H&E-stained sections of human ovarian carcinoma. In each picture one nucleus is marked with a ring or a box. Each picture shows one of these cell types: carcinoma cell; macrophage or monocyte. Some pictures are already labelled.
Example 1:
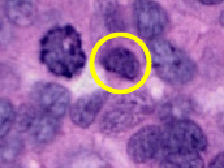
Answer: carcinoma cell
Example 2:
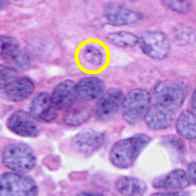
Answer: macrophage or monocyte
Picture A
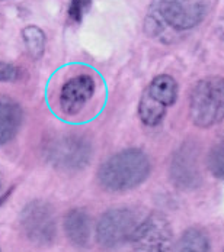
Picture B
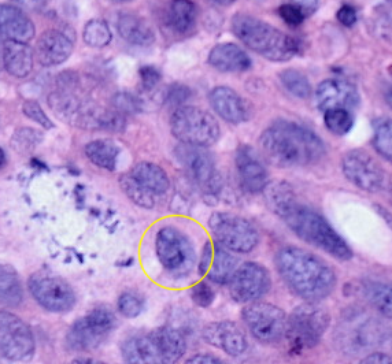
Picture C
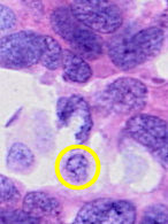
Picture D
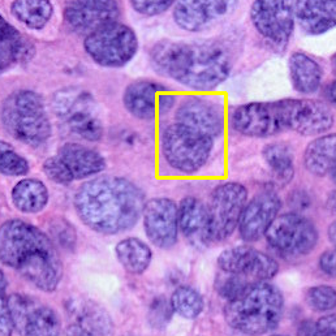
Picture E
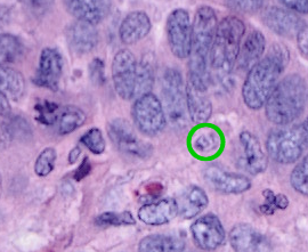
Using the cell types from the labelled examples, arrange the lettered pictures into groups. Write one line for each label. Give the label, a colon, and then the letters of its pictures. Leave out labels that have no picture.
carcinoma cell: D
macrophage or monocyte: A, B, C, E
